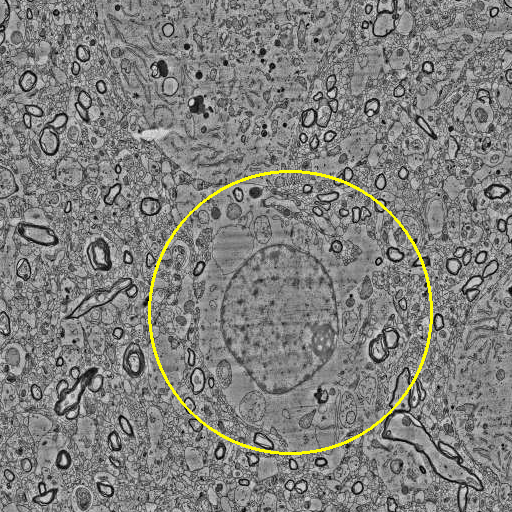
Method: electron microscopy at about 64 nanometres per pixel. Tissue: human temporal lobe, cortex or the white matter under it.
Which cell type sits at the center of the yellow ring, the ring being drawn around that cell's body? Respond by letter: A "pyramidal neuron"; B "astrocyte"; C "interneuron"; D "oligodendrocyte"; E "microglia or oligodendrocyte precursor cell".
B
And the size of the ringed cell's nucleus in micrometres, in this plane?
The ringed cell's nucleus is about 9 micrometres long and 8 micrometres wide in this plane.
